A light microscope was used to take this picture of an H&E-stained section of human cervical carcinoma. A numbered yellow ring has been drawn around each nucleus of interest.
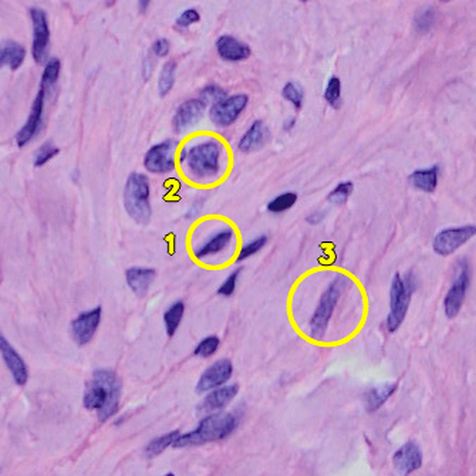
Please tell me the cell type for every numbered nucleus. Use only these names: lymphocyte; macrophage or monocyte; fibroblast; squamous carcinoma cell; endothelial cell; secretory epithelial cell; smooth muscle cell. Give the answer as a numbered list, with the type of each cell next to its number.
1. fibroblast
2. endothelial cell
3. smooth muscle cell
